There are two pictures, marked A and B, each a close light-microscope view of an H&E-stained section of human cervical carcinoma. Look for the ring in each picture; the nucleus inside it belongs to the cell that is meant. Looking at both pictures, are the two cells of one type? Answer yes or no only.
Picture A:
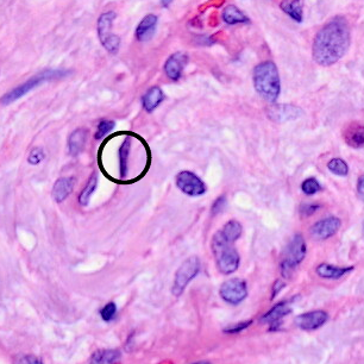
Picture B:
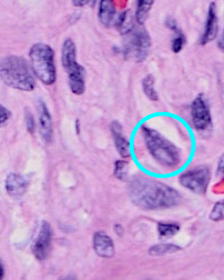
yes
